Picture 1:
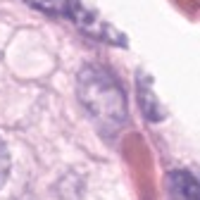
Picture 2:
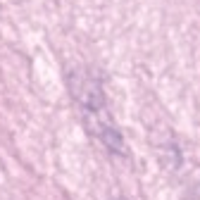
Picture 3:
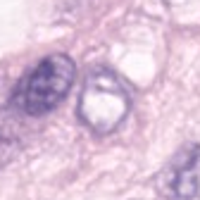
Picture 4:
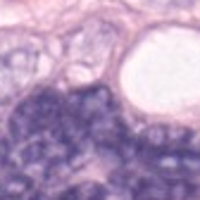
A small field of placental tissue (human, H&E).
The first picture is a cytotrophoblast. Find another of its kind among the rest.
Picture 3.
